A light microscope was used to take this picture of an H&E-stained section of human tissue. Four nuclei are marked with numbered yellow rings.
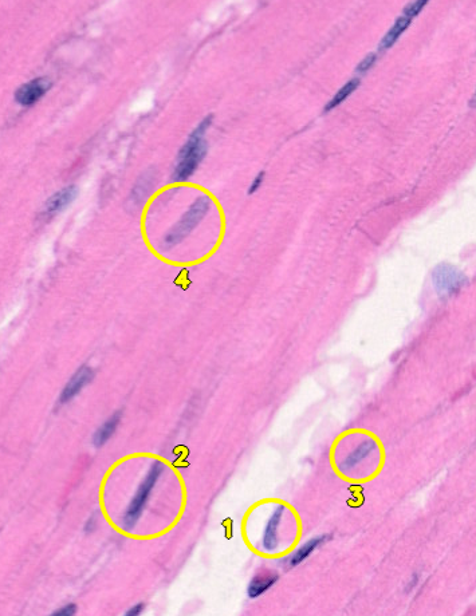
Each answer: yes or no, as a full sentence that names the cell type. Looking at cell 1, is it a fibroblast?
Yes, as for number 1, the cell is a fibroblast.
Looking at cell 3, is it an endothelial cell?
No, the cell under number 3 is a cardiomyocyte, not an endothelial cell.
